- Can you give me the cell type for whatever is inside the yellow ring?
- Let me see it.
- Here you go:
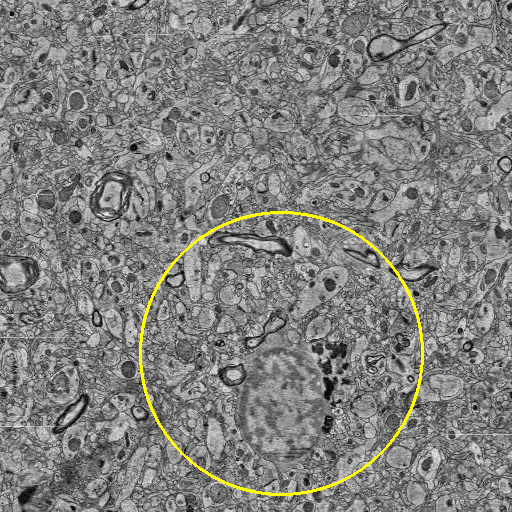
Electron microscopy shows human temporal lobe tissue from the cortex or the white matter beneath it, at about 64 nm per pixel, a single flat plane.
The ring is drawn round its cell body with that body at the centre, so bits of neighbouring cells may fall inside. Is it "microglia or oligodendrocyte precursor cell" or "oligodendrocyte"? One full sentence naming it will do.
The cell body in the middle of the ring in this picture belongs to an oligodendrocyte.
